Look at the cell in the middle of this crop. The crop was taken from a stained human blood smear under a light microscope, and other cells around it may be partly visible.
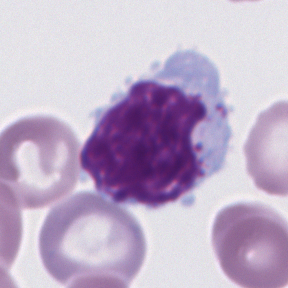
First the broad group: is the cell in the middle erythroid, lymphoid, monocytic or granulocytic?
lymphoid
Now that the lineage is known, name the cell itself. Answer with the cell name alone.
large granular lymphocyte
